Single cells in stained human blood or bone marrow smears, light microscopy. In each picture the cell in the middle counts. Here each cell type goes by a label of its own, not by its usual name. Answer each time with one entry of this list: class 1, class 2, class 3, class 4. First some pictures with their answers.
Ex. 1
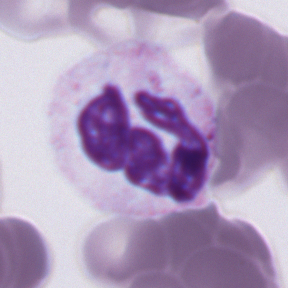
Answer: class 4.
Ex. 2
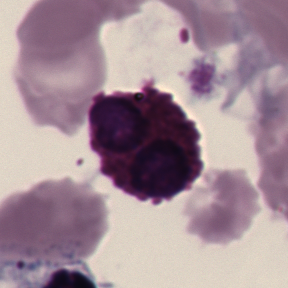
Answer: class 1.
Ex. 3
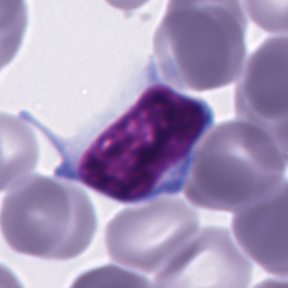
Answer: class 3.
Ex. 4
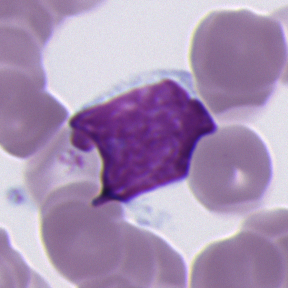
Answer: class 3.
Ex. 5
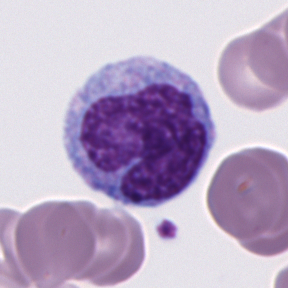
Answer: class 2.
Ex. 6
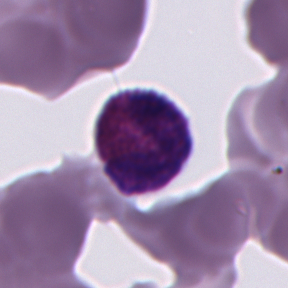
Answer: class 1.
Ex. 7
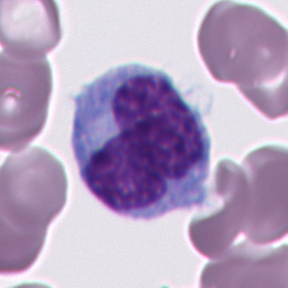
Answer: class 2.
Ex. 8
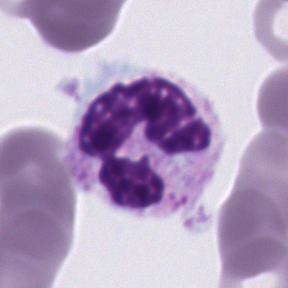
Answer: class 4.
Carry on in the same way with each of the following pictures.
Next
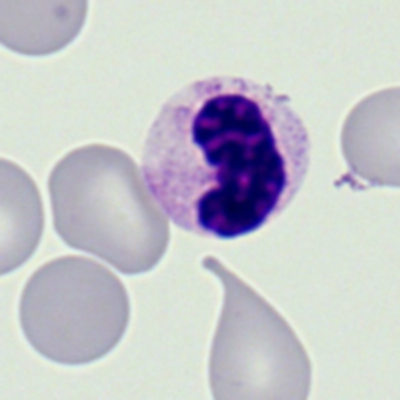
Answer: class 4.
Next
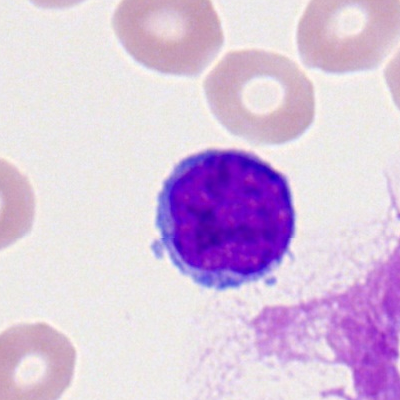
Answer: class 3.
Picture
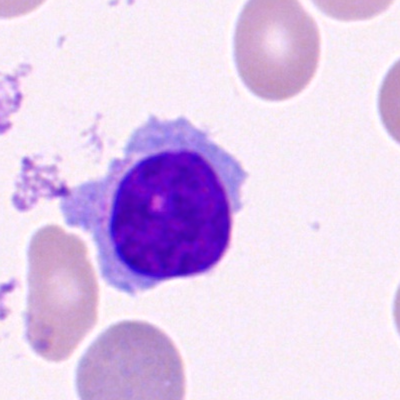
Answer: class 3.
